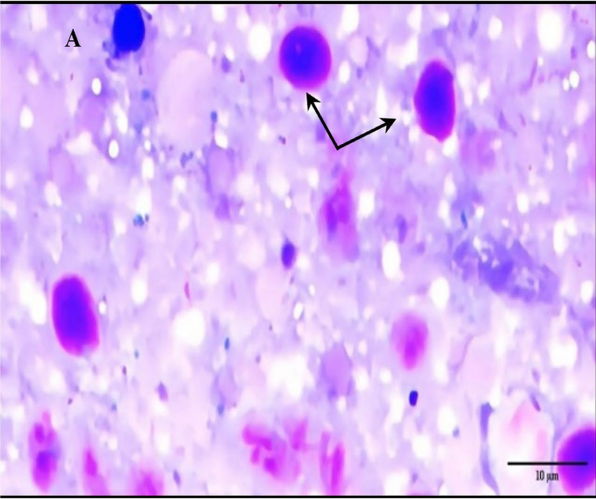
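This hemolymph smear shows prohaemocytes, which are small, round to oval cells. These cells stain a deep purple and have little visible cytoplasm. They lie scattered singly in a pale lilac background that is dotted with many small clear vacuoles. Fainter pinkish, less defined cell profiles and small dark dots are also present among them.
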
